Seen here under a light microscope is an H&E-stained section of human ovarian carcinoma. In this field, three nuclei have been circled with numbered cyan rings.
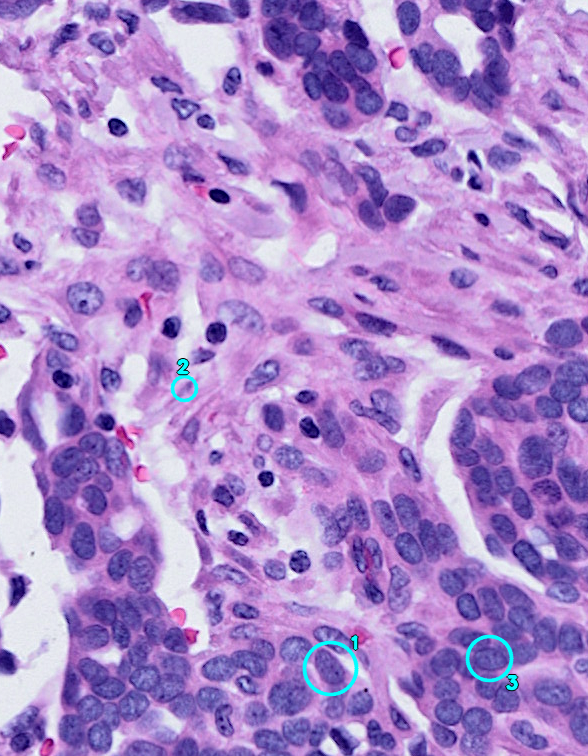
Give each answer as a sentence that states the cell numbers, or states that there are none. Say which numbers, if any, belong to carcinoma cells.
The cells with labels 1 and 3 are carcinoma cells.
